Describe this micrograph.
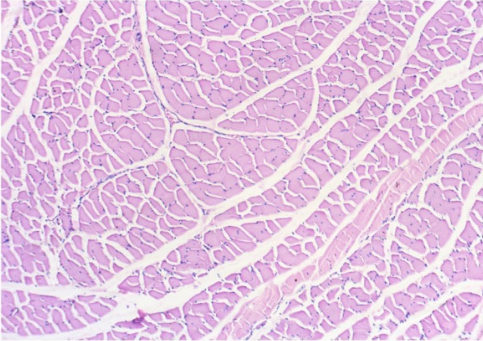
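Muscle fibers cut in cross section appear as closely packed, many-sided pink profiles of similar size. Thin clear spaces outline each fiber, and broader clear bands divide the fibers into groups. Small dark nuclei lie at the edges of the fibers.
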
